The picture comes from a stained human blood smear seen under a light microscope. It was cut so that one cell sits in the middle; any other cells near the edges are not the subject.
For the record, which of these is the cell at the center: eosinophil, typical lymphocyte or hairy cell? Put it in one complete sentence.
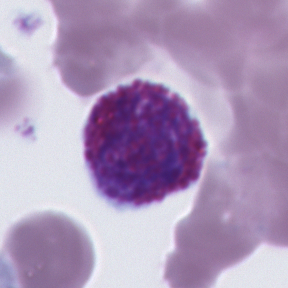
The centrally positioned cell in the crop represents an eosinophil.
